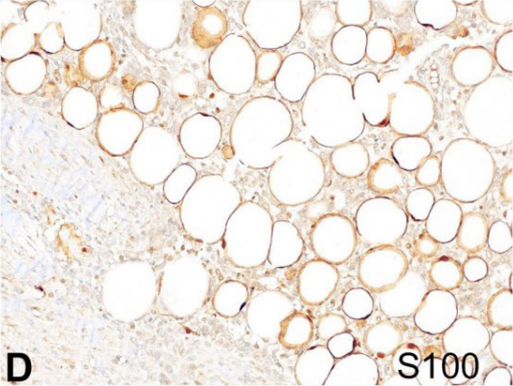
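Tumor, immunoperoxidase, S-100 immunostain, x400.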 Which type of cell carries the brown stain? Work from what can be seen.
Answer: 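Large round empty vacuoles of varying size fill much of the field. The brown stain outlines the thin rims around the vacuoles. The spindle-cell area at the lower left is largely unstained. That points to this answer: adipocytes.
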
